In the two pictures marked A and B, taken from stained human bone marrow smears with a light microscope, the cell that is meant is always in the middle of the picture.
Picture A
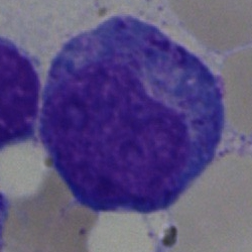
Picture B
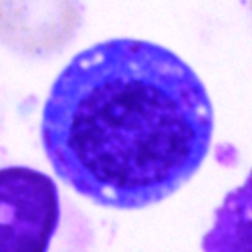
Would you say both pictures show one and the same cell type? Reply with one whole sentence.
Yes, they are the same type: both are promyelocytes.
